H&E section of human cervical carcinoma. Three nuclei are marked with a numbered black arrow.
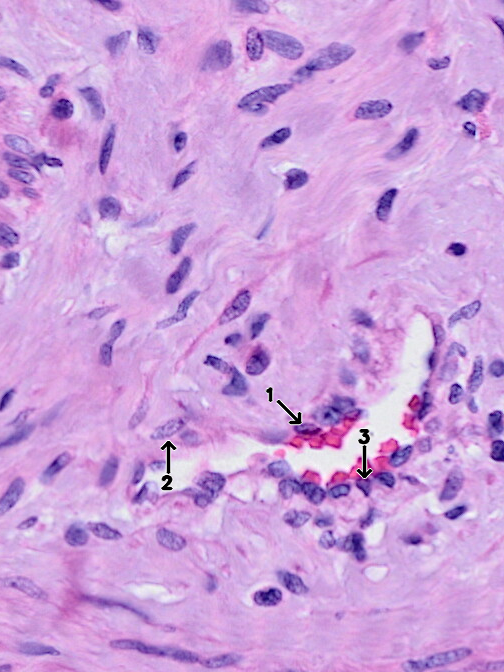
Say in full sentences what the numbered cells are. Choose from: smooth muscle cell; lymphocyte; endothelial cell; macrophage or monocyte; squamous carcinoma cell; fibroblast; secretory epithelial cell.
Cell 1 is an endothelial cell, cell 2 is a smooth muscle cell and cell 3 is an endothelial cell.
